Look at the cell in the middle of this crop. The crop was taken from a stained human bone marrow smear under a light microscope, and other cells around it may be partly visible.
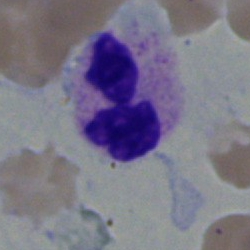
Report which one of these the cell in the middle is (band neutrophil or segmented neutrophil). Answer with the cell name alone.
segmented neutrophil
